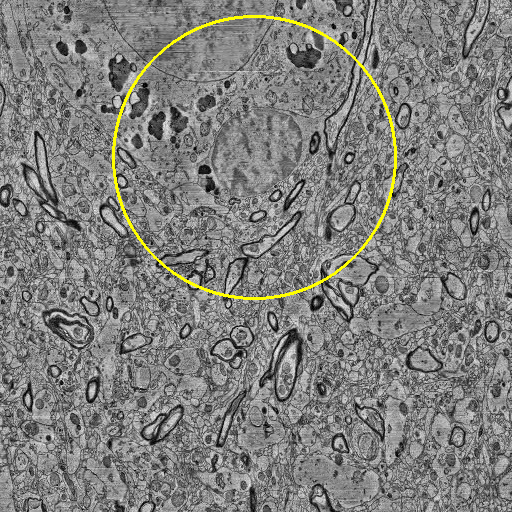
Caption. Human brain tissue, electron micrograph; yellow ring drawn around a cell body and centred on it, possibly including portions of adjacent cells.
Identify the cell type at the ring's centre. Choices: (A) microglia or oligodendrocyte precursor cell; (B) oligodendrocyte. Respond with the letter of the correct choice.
B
